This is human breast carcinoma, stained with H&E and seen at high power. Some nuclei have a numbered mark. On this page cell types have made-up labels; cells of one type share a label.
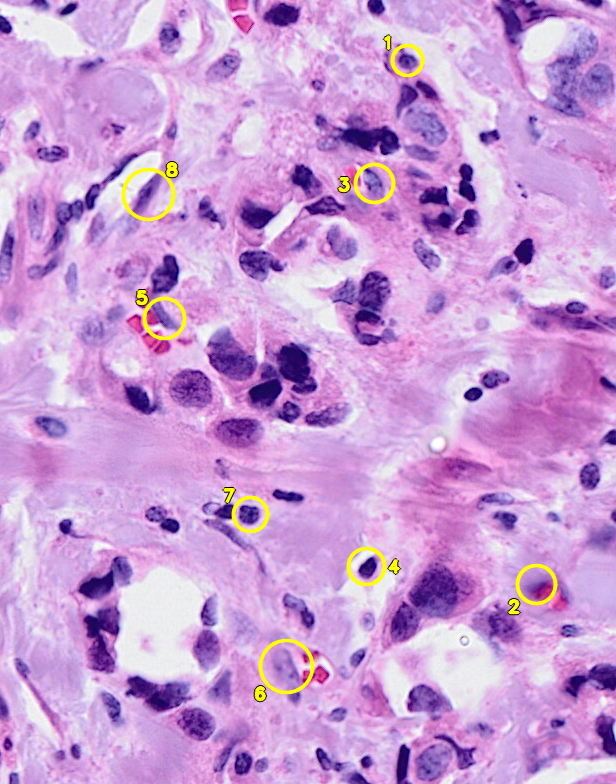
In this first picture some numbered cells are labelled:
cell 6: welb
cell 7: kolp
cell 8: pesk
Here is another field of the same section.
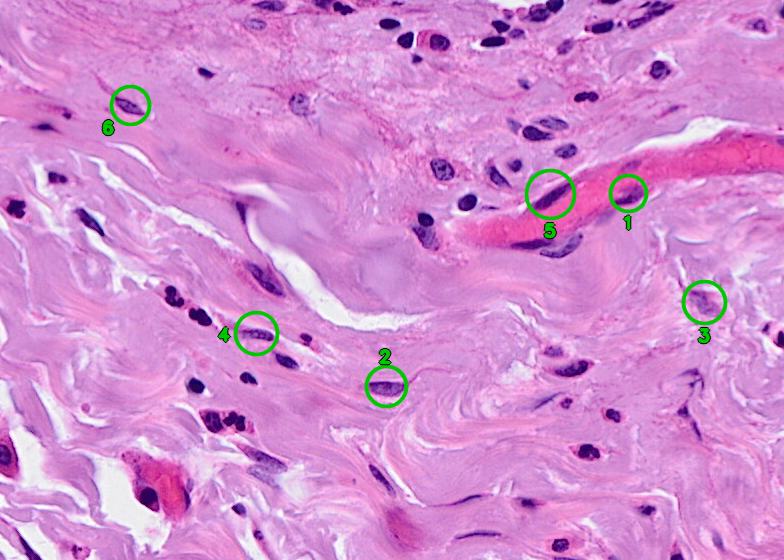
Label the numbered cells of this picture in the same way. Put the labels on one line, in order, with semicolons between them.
welb; pesk; pesk; pesk; welb; pesk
